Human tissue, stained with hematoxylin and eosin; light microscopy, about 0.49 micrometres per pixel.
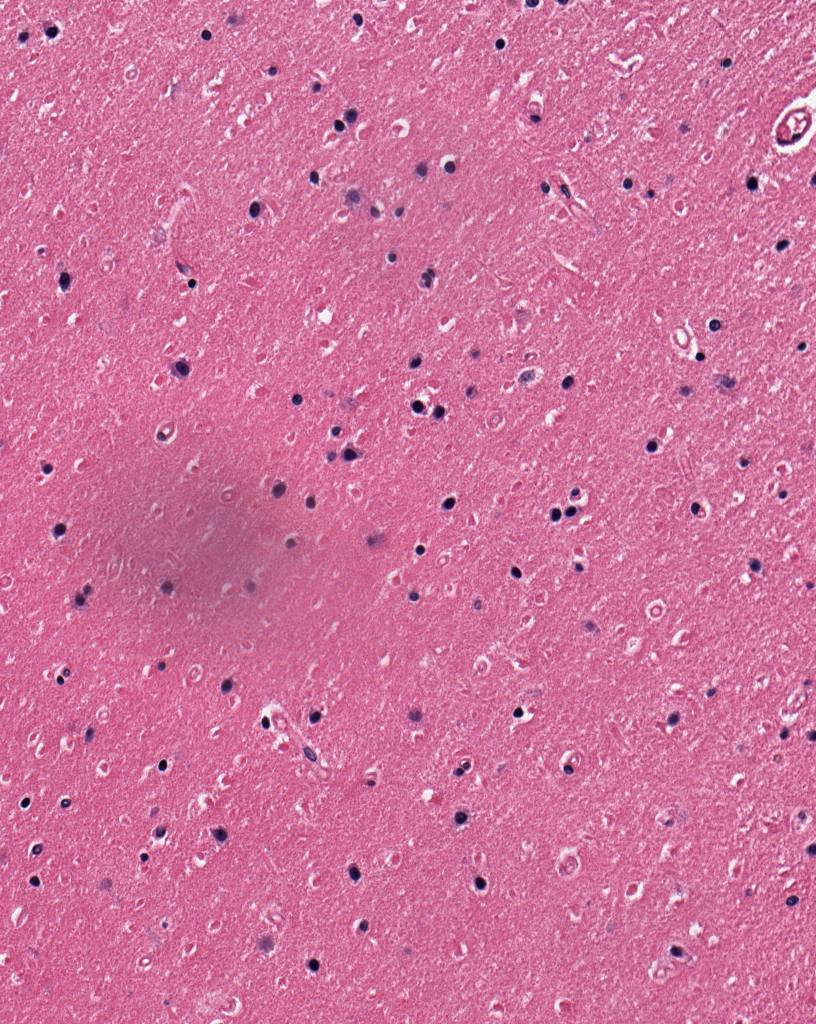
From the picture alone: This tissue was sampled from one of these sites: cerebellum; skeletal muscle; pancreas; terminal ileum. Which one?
cerebellum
